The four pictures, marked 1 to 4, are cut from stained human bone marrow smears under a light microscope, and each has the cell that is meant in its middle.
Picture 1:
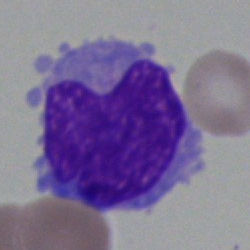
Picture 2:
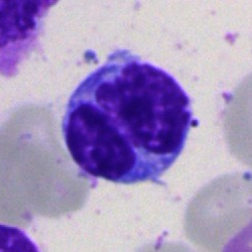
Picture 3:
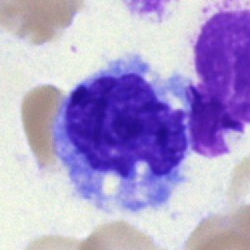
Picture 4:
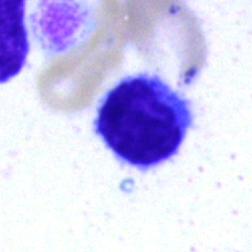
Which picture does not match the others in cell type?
4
